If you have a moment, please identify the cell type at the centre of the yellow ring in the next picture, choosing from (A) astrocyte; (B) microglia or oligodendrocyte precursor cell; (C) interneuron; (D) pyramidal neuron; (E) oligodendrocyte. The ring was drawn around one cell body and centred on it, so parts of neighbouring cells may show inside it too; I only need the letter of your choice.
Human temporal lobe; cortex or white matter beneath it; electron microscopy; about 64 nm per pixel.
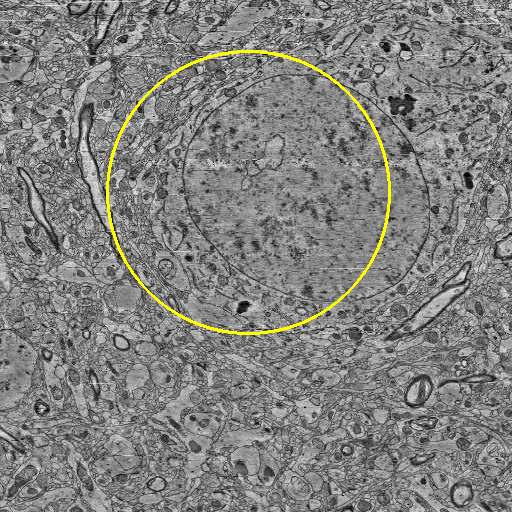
D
